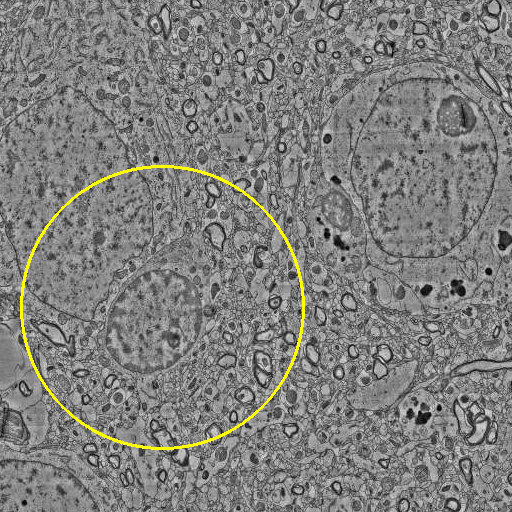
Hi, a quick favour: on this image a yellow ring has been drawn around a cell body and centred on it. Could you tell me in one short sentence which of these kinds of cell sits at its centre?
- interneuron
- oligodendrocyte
The ring is centred on an oligodendrocyte.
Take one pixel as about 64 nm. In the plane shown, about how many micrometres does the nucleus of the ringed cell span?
Approximately 7 micrometres long and 6 micrometres wide, in this plane.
